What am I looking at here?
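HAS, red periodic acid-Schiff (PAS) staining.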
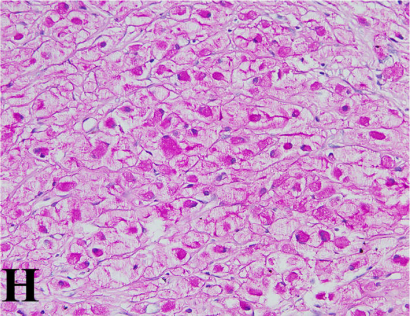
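Tumor cells including signet ring cells lie loosely in sheets within a pale pink background. Many cells are rounded with abundant magenta-staining cytoplasm. Their nuclei are small and dark, and in several cells sit at the edge of the cell. Other cells have paler, clearer cytoplasm separated by thin pink strands. The cells vary in size and are not arranged in glands.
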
